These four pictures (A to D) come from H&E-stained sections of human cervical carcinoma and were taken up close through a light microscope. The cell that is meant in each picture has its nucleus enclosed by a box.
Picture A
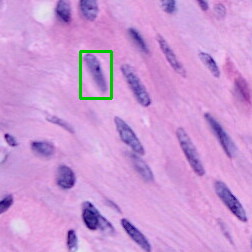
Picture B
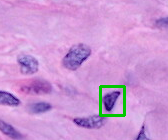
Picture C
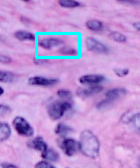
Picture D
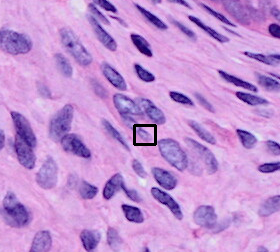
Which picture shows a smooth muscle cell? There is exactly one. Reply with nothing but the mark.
C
